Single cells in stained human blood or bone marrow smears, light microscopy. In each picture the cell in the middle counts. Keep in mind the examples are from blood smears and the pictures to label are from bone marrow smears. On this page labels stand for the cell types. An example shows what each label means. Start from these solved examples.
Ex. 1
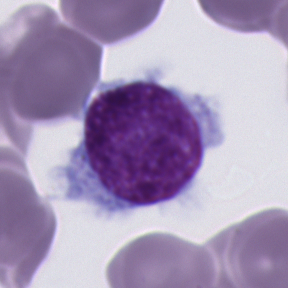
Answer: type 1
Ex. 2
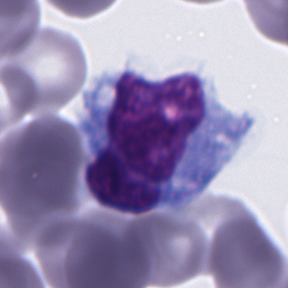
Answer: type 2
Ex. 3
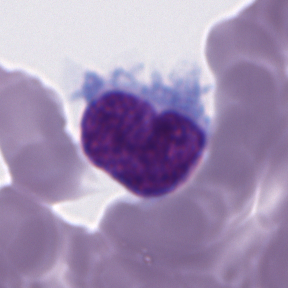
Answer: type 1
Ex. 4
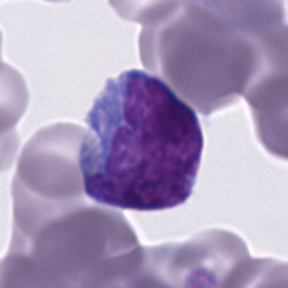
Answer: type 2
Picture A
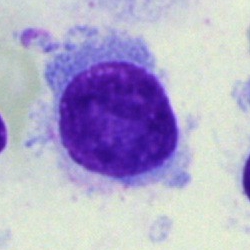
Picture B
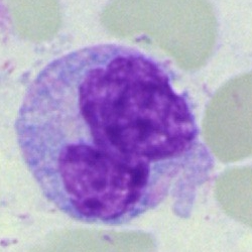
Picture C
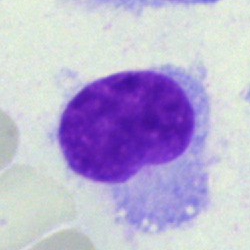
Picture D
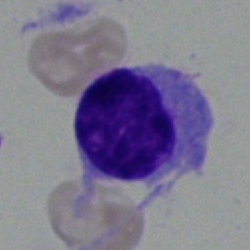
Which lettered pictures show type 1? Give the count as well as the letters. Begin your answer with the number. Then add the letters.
3, namely A, C, D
